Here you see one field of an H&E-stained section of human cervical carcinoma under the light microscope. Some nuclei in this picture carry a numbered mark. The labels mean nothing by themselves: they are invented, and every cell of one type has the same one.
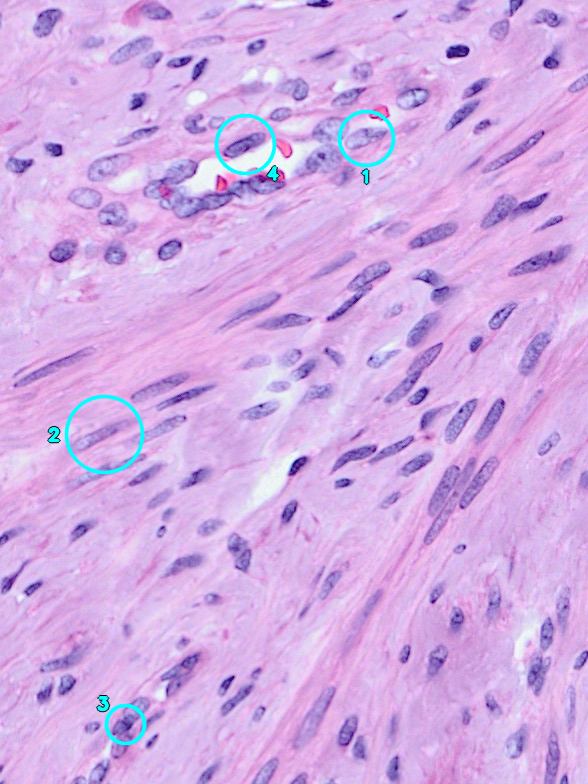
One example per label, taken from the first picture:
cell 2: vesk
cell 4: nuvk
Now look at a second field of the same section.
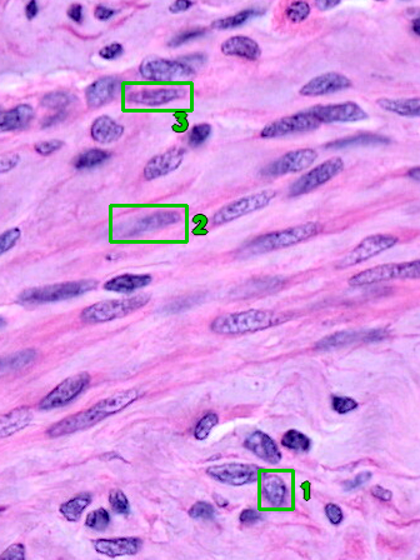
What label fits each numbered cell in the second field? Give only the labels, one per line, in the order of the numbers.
vesk
vesk
nuvk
